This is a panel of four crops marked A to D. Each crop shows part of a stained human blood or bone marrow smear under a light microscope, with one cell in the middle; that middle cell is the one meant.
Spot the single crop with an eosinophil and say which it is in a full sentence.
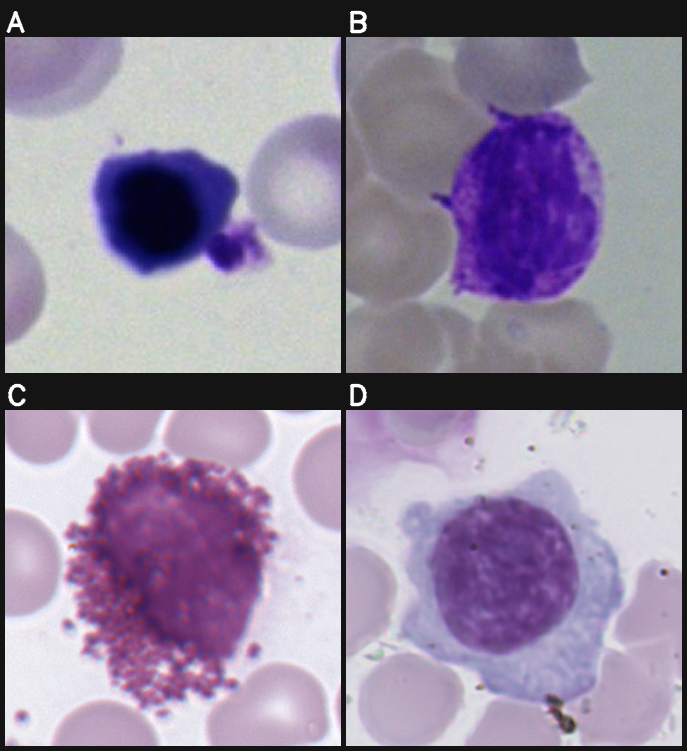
The correct choice is crop C, the one showing an eosinophil.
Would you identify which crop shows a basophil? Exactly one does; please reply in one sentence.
As for which crop shows a basophil, it is crop B.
